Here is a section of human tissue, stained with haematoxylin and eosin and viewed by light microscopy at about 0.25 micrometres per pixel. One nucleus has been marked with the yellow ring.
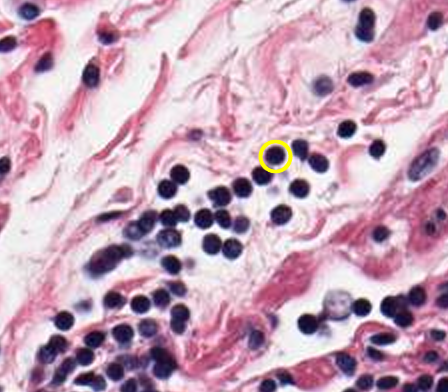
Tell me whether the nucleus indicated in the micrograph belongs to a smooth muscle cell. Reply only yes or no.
no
